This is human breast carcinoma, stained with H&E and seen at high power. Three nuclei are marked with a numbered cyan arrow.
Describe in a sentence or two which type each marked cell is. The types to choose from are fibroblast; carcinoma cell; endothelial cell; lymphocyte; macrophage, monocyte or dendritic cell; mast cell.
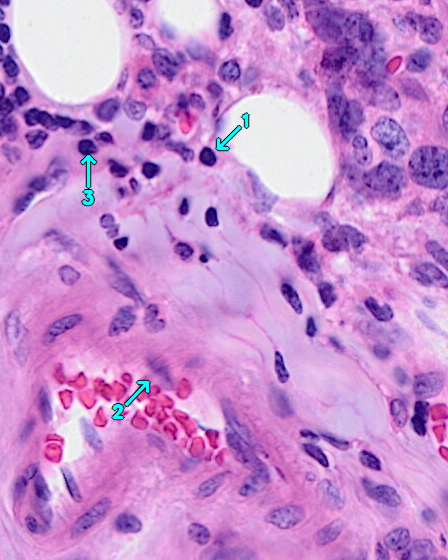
Cells 1 and 3 are lymphocytes. Cell 2 is an endothelial cell.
